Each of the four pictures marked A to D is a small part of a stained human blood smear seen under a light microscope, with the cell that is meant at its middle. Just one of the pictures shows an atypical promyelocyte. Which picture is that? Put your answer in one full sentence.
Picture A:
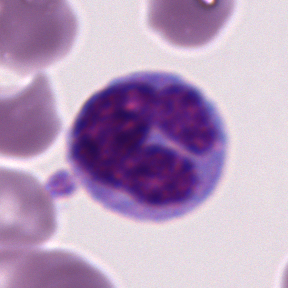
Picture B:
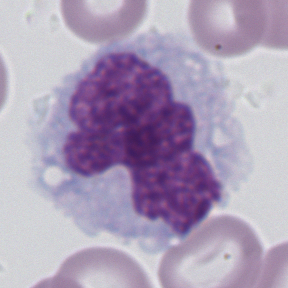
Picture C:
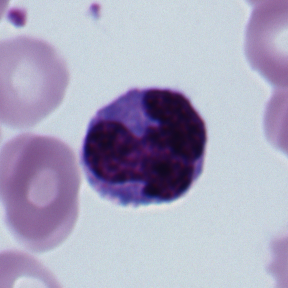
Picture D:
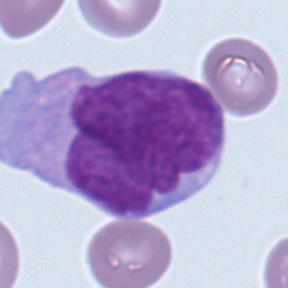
Picture D shows the atypical promyelocyte.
